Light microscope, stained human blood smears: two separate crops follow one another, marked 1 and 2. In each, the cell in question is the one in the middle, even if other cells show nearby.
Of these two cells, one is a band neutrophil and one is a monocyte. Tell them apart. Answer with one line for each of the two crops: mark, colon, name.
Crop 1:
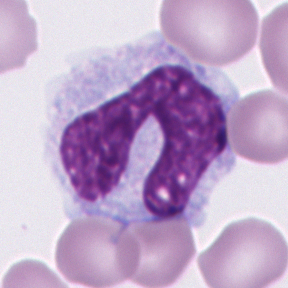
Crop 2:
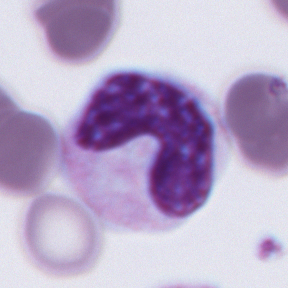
1: monocyte
2: band neutrophil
